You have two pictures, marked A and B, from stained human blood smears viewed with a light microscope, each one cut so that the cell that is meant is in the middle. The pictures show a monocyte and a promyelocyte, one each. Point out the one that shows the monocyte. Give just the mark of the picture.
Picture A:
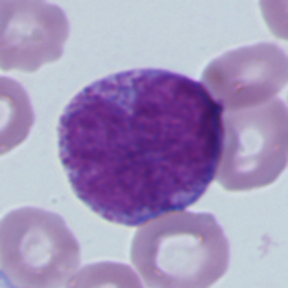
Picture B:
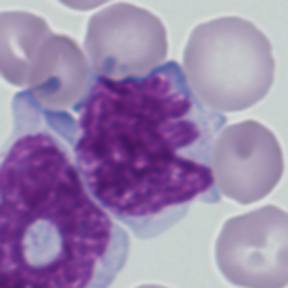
B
